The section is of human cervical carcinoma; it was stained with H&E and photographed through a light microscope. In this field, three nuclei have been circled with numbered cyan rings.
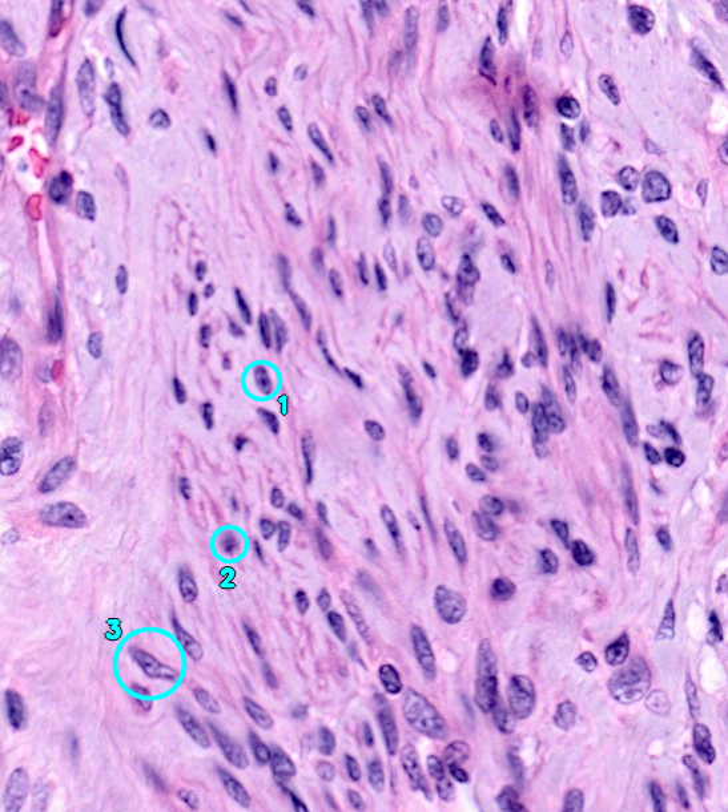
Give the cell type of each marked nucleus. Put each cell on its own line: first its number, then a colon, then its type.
1: fibroblast
2: smooth muscle cell
3: smooth muscle cell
